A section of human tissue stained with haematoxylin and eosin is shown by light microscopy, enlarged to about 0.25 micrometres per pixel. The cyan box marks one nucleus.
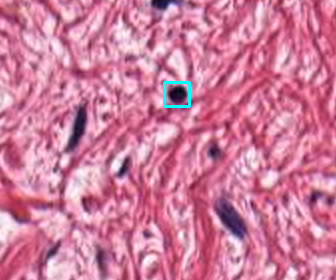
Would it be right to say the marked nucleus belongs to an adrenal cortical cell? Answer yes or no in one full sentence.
No, the marked nucleus is the nucleus of a supporting cell rather than of an adrenal cortical cell.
